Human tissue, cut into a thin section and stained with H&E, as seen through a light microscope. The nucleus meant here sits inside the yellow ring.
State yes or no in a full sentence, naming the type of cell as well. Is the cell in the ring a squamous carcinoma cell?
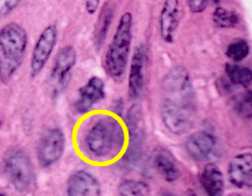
Yes, the cell in the ring is a squamous carcinoma cell; nothing to add.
